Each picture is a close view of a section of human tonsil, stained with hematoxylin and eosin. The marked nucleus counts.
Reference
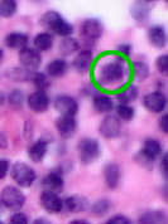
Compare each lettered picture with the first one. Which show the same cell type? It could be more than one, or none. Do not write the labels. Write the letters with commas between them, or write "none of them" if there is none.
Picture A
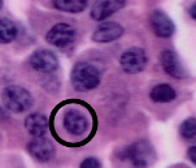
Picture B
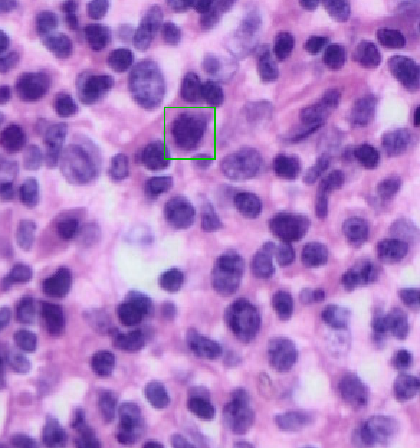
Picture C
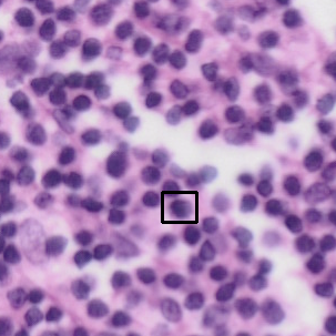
C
